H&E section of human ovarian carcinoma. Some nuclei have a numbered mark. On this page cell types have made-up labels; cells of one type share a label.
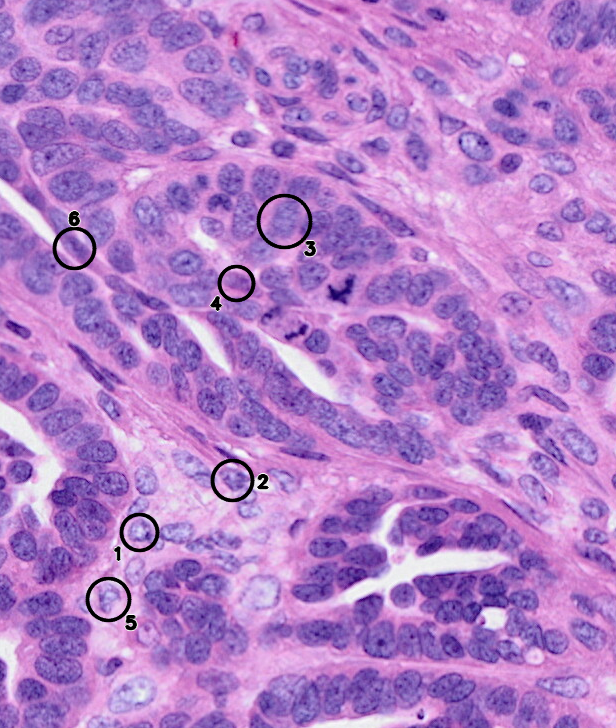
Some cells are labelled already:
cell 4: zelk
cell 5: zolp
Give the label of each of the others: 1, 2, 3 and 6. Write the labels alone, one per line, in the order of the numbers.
zolp
zolp
zelk
zelk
